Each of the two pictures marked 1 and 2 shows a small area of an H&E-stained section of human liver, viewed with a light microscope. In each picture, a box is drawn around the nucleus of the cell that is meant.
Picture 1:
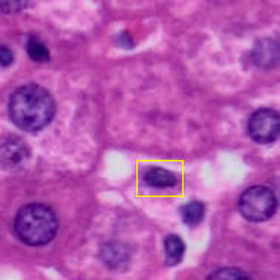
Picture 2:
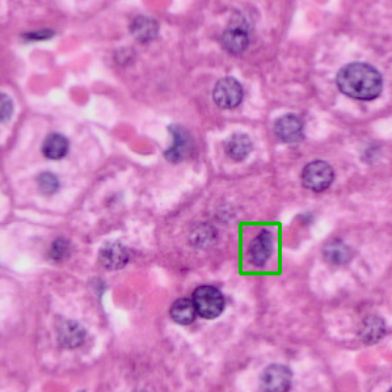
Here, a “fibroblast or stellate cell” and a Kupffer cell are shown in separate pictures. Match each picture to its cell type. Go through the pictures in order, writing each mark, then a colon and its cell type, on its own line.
1: Kupffer cell
2: fibroblast or stellate cell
